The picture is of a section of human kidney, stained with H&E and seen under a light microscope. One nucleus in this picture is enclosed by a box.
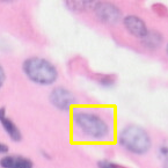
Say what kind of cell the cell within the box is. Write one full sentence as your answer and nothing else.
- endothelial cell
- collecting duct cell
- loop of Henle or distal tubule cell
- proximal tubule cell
Microscopically, the cell within the box is categorized as a collecting duct cell.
